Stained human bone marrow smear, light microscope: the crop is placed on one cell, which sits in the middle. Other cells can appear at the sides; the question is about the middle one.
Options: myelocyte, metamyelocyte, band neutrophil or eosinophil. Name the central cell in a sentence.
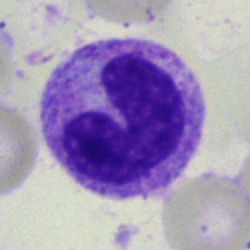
In the centre of this crop there is a band neutrophil.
